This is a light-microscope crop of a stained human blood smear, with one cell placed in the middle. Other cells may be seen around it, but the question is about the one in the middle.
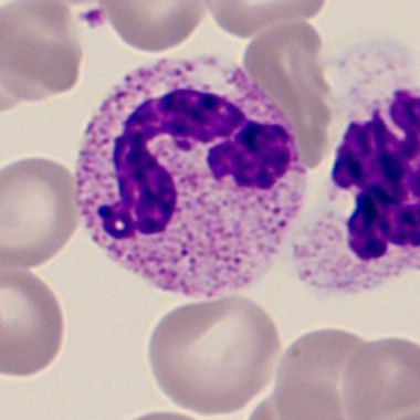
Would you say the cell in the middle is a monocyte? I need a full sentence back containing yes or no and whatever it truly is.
No, it is not a monocyte that lies in the middle but a segmented neutrophil.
